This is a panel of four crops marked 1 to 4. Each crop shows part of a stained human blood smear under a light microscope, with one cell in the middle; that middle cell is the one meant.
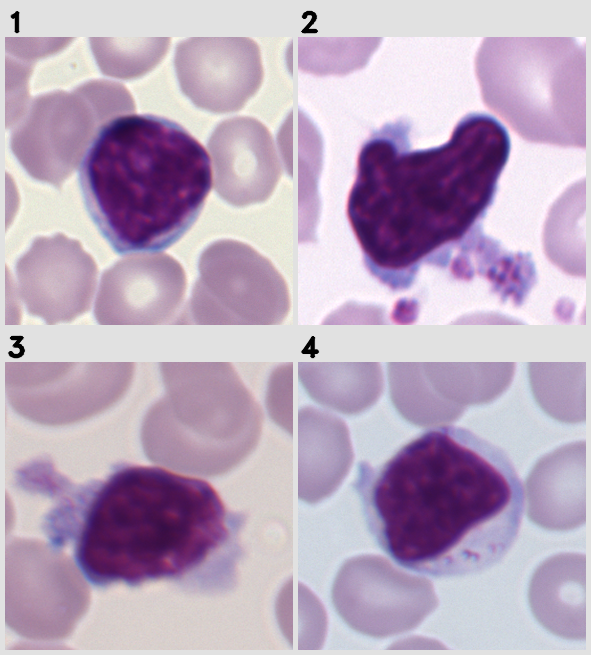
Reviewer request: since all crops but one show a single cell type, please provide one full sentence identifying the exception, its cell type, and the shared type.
Crop 4 contains a large granular lymphocyte, setting it apart from the other crops, which all contain typical lymphocytes.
